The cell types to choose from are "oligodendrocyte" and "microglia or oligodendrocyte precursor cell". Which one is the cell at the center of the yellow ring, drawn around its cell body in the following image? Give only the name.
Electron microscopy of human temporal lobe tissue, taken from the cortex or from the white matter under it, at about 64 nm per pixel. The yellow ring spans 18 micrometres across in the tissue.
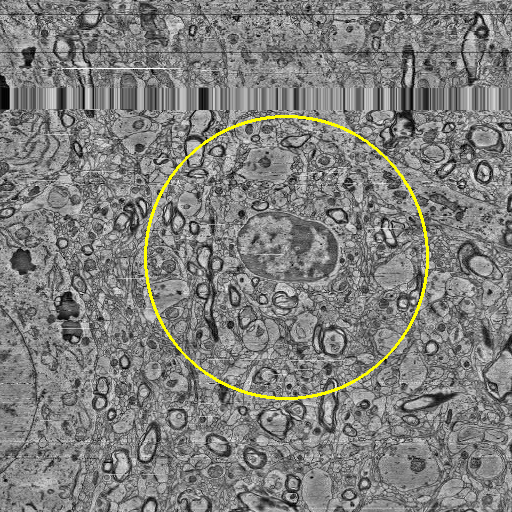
microglia or oligodendrocyte precursor cell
